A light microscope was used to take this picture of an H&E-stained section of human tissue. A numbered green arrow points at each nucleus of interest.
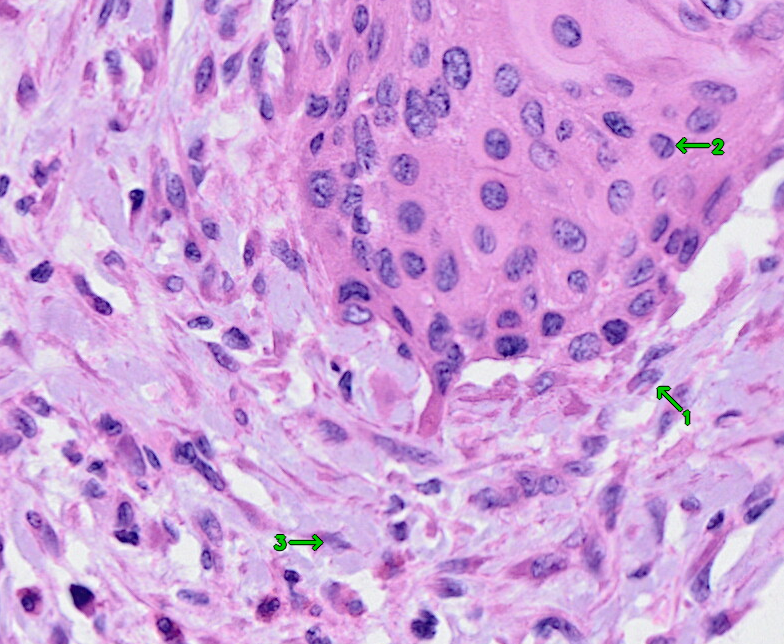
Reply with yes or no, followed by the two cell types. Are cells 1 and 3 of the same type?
Yes, among the marked cells, numbers 1 and 3 are both fibroblasts.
